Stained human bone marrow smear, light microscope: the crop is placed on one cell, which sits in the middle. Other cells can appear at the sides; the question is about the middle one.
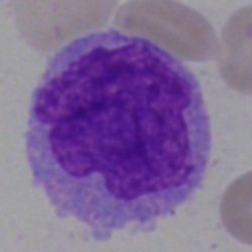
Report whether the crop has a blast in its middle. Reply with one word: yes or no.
no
